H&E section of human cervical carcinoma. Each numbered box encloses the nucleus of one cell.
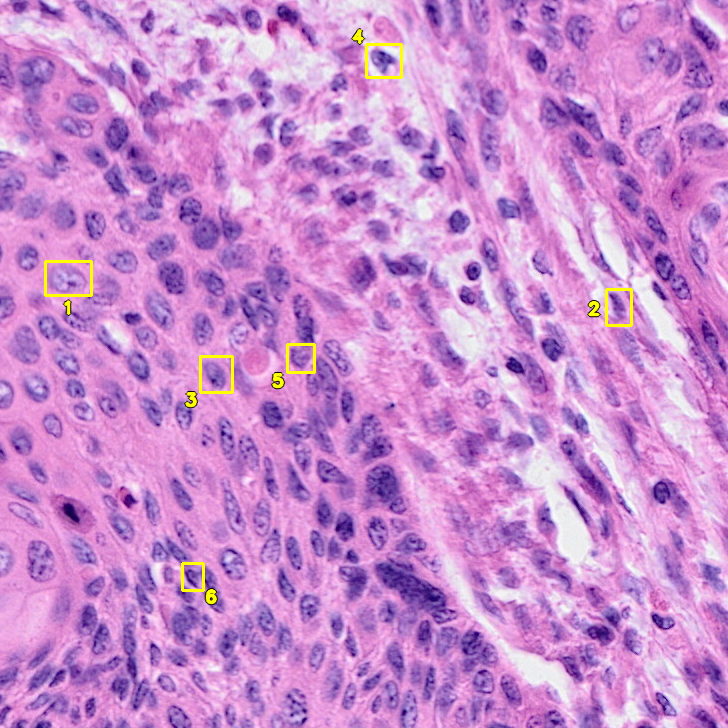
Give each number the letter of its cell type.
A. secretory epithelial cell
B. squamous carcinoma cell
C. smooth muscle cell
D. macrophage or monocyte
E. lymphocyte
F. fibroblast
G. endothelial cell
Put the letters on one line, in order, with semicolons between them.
B; F; B; E; B; B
